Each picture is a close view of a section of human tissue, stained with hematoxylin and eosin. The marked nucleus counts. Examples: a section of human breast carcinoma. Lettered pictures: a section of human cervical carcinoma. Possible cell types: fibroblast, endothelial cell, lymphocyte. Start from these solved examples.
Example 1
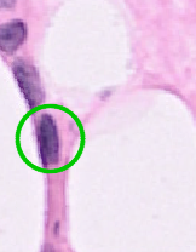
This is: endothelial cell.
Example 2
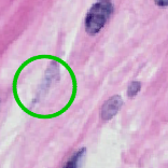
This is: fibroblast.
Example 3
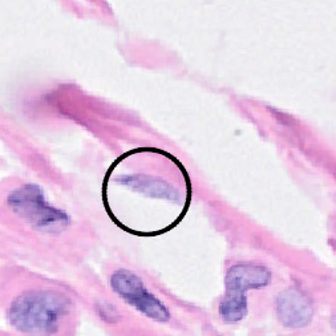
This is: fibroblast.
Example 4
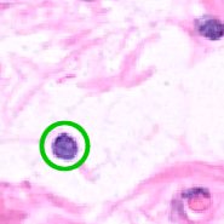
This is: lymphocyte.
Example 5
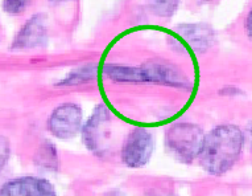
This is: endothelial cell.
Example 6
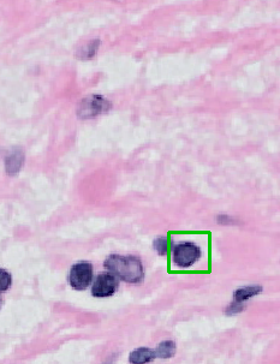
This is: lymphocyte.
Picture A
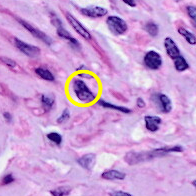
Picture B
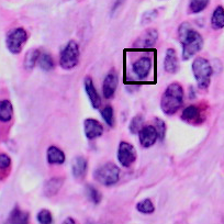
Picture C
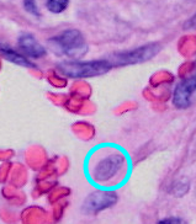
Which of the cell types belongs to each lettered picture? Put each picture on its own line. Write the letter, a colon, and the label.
A: lymphocyte.
B: lymphocyte.
C: endothelial cell.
